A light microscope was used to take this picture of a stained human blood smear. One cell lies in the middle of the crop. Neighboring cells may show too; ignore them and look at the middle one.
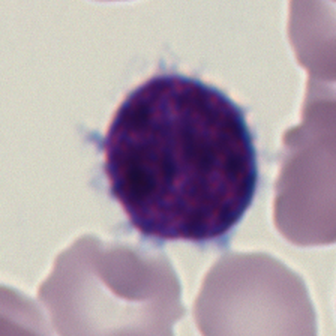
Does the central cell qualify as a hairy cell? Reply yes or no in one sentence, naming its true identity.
Yes, the cell that occupies the centre is a hairy cell.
